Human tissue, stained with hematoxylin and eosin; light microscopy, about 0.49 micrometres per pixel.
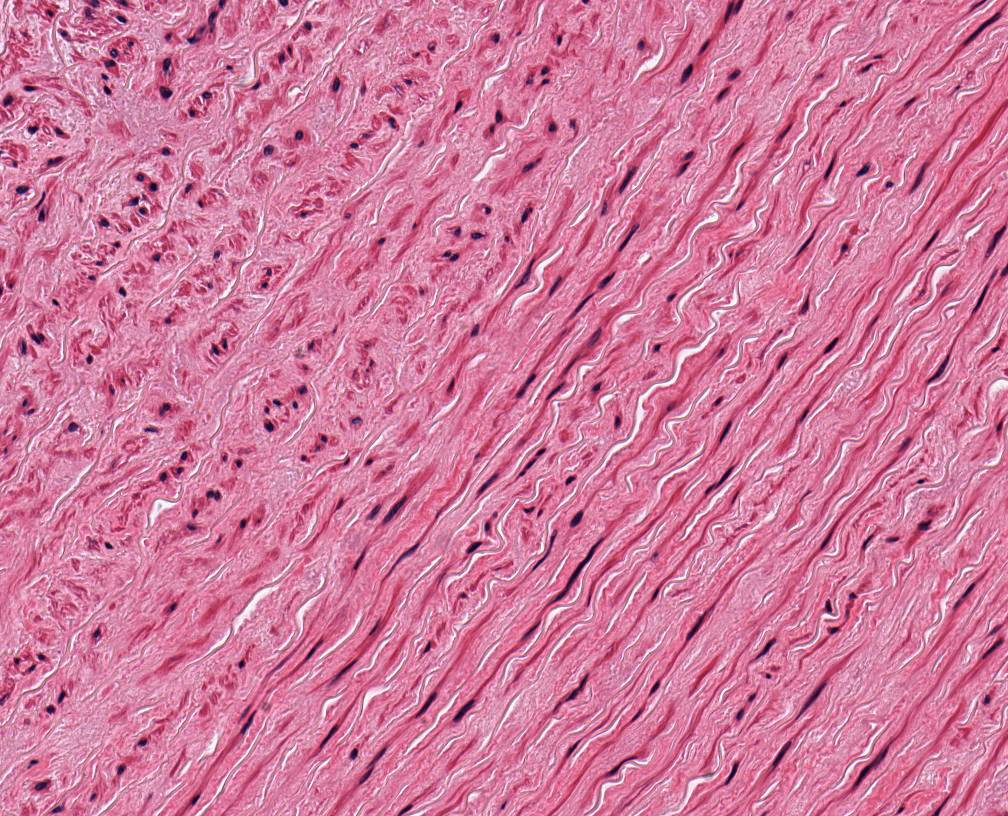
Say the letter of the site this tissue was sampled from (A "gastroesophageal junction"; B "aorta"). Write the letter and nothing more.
B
